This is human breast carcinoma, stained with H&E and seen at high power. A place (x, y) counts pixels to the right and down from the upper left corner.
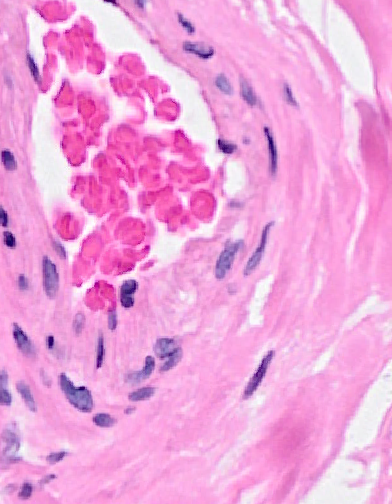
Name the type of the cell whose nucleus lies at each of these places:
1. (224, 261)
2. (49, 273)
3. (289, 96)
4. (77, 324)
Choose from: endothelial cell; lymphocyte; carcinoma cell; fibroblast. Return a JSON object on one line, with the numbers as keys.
{"1": "endothelial cell", "2": "endothelial cell", "3": "fibroblast", "4": "endothelial cell"}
